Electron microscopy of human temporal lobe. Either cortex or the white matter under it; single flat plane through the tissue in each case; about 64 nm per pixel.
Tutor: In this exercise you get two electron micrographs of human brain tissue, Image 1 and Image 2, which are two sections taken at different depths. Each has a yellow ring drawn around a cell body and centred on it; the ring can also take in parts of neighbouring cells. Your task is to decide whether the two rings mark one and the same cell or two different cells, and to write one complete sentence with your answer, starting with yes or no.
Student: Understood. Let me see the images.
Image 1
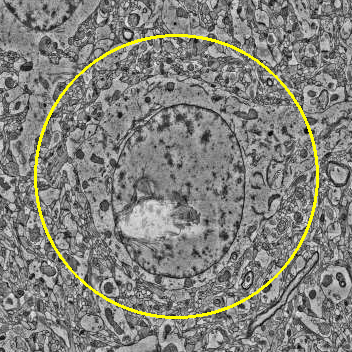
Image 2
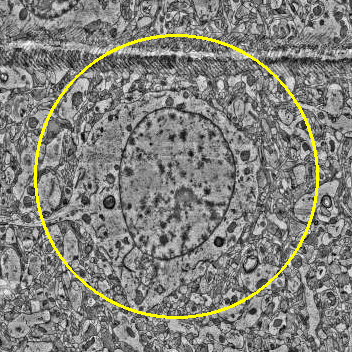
Yes, both yellow rings mark one and the same cell.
